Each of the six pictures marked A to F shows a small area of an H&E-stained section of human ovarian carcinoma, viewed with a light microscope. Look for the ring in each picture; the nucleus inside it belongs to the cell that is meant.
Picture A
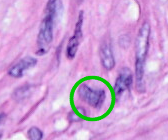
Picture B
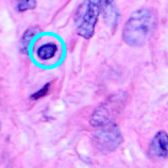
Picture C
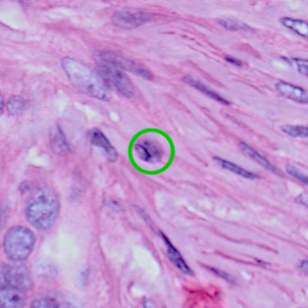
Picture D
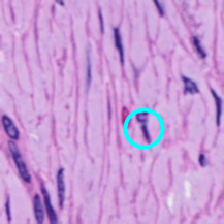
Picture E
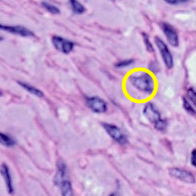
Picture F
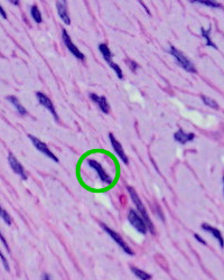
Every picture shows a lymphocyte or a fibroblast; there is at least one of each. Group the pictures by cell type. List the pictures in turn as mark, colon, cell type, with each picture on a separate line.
A: fibroblast
B: lymphocyte
C: lymphocyte
D: fibroblast
E: fibroblast
F: fibroblast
